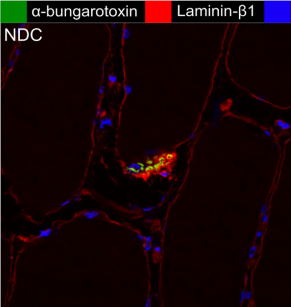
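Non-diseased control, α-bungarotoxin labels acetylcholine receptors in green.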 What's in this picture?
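Small blue nuclei lie at the fiber edges and in the narrow spaces between fibers. Near the center, between adjoining fibers, a compact cluster of green, beaded and folded signal marks an endplate. It overlaps a patch of brighter red, so parts of it appear yellow. The fiber interiors are dark and uniform. Apart from this one site the green signal is absent, and the fibers keep their regular outlines.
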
